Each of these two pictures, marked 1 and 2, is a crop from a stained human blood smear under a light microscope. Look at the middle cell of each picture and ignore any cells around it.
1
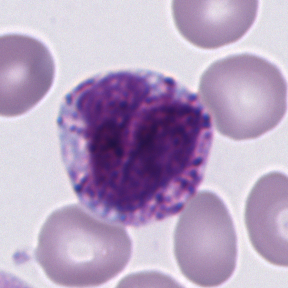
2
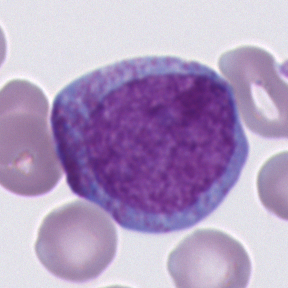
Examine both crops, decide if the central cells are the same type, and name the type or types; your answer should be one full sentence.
No; crop 1 is a basophil, while crop 2 is a promyelocyte.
